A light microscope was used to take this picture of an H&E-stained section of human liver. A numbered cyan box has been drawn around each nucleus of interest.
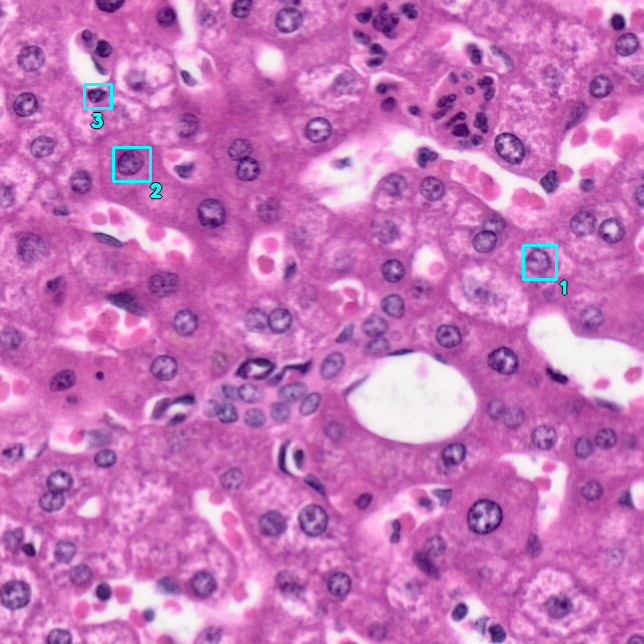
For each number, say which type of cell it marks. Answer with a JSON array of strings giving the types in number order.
["hepatocyte", "hepatocyte", "fibroblast or stellate cell"]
